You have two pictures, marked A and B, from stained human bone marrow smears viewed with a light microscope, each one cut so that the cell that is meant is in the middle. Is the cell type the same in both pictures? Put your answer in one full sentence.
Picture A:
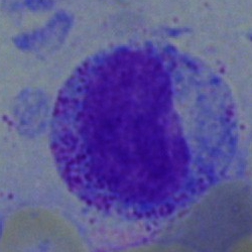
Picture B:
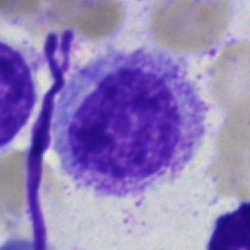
Yes, both are myelocytes.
